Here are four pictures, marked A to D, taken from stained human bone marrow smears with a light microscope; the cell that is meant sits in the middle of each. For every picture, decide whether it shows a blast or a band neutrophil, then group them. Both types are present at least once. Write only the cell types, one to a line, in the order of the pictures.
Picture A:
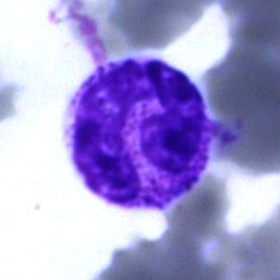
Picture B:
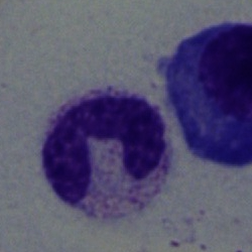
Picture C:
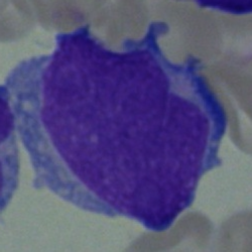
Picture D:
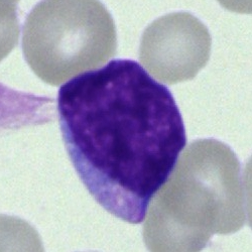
band neutrophil
band neutrophil
blast
blast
